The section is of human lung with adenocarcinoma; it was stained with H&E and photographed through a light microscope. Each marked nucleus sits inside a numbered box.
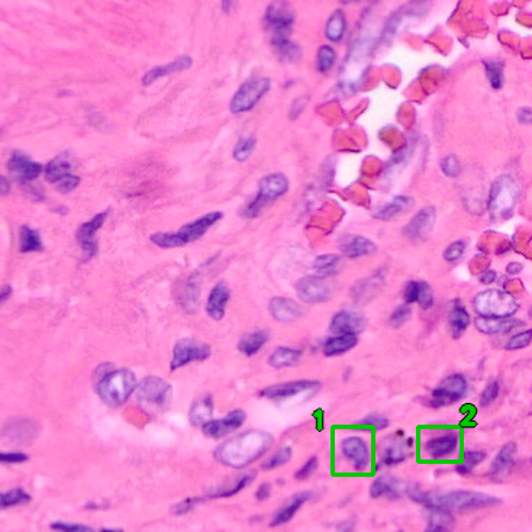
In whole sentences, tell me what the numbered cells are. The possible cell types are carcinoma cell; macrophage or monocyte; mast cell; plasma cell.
Cell 1 is a mast cell. Cell 2 is a plasma cell.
